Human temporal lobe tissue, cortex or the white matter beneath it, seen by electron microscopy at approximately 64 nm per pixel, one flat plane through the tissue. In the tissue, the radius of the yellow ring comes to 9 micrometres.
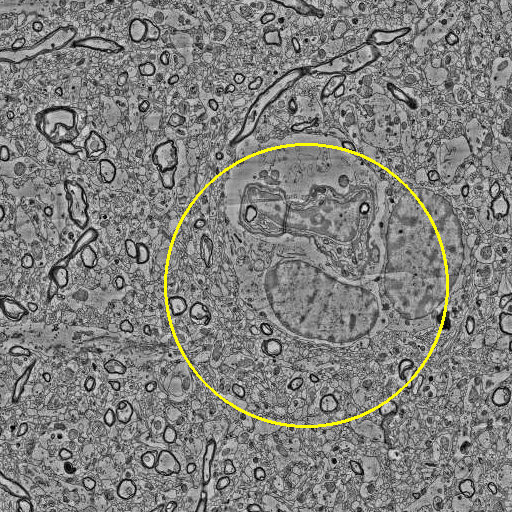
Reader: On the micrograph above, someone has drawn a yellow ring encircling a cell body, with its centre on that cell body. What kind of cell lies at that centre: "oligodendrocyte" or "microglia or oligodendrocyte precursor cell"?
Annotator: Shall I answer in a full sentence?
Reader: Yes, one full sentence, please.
Here a microglial cell or oligodendrocyte precursor cell sits at the centre of the yellow ring drawn on the micrograph.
